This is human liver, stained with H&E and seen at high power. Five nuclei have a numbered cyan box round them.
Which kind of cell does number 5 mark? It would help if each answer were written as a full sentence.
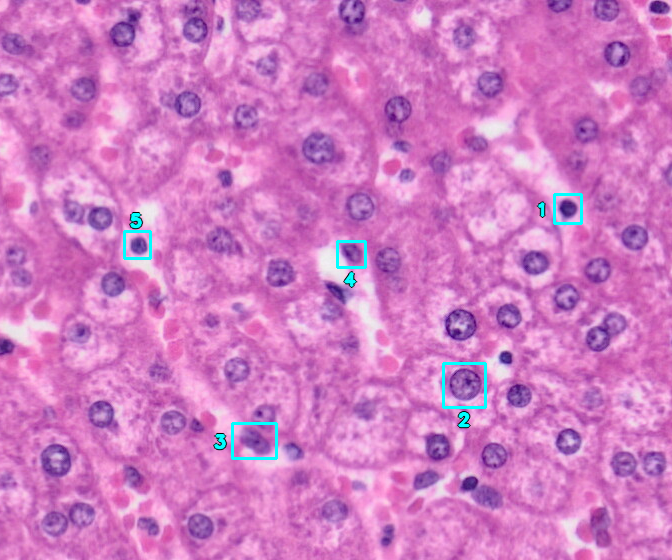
The cell pointed out by number 5 is a lymphocyte.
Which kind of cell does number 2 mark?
Cell 2 is classified as a hepatocyte.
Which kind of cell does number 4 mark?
The cell indicated by marker 4 is a Kupffer cell in this section.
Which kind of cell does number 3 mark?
The cell numbered 3 has been identified as an endothelial cell.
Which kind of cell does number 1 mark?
Of the numbered cells, the one labelled 1 is a lymphocyte.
